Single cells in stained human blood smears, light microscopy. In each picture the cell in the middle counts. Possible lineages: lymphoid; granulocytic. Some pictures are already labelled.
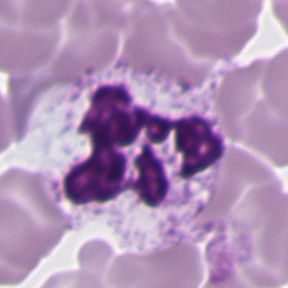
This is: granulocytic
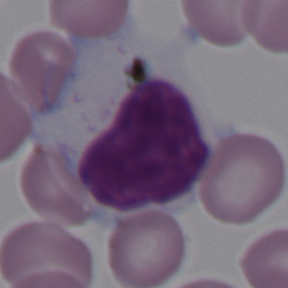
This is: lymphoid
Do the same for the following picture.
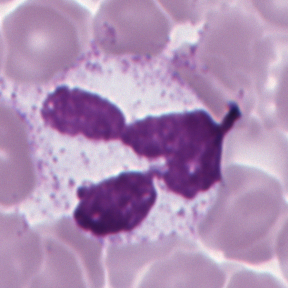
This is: granulocytic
